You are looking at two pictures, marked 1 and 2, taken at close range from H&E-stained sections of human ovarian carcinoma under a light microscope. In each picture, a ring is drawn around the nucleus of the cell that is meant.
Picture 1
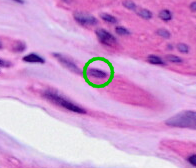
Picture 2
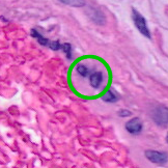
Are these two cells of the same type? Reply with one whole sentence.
No; the cell in picture 1 is a smooth muscle cell, while the one in picture 2 is an endothelial cell.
